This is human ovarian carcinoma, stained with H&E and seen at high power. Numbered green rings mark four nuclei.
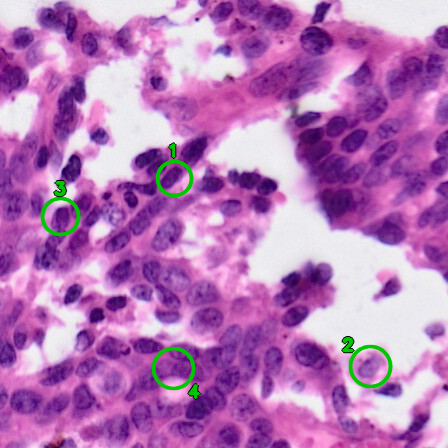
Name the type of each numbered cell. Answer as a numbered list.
1. carcinoma cell
2. macrophage or monocyte
3. carcinoma cell
4. carcinoma cell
